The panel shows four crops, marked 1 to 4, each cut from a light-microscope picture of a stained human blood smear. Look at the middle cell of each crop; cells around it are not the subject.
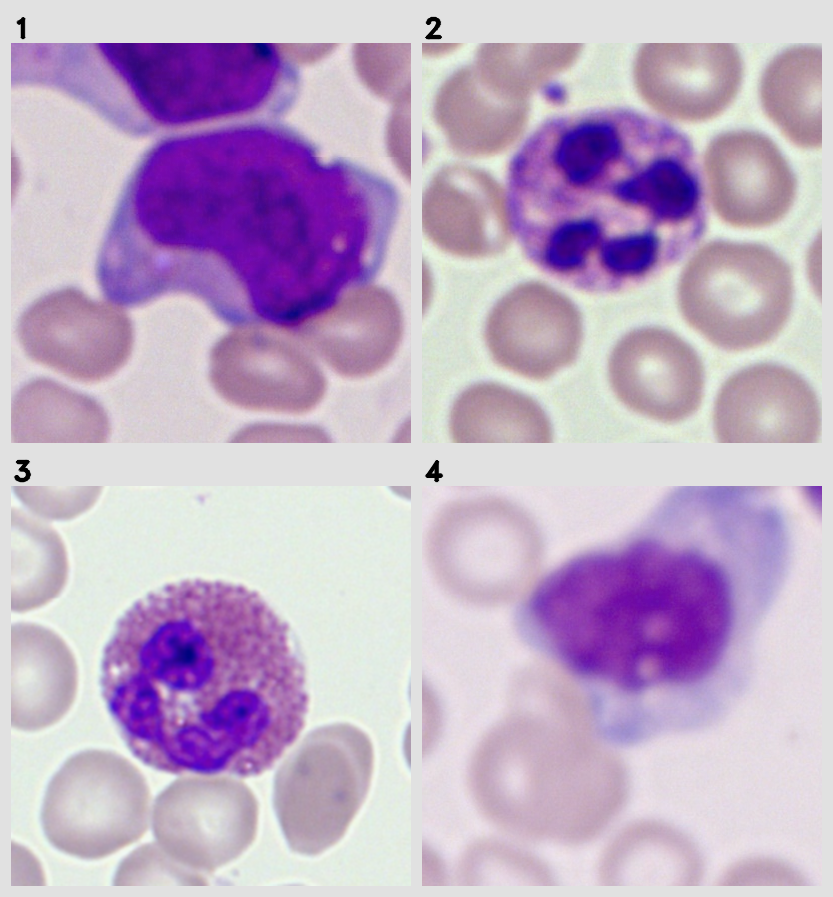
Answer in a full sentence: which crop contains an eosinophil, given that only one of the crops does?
The crop that shows an eosinophil is crop 3.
